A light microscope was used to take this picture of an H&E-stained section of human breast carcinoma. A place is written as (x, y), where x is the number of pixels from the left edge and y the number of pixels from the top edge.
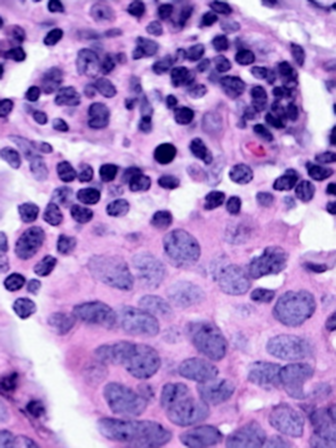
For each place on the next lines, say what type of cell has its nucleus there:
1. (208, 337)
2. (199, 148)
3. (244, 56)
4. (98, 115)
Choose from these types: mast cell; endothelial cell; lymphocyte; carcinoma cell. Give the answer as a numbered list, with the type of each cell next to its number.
1. carcinoma cell
2. lymphocyte
3. lymphocyte
4. lymphocyte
